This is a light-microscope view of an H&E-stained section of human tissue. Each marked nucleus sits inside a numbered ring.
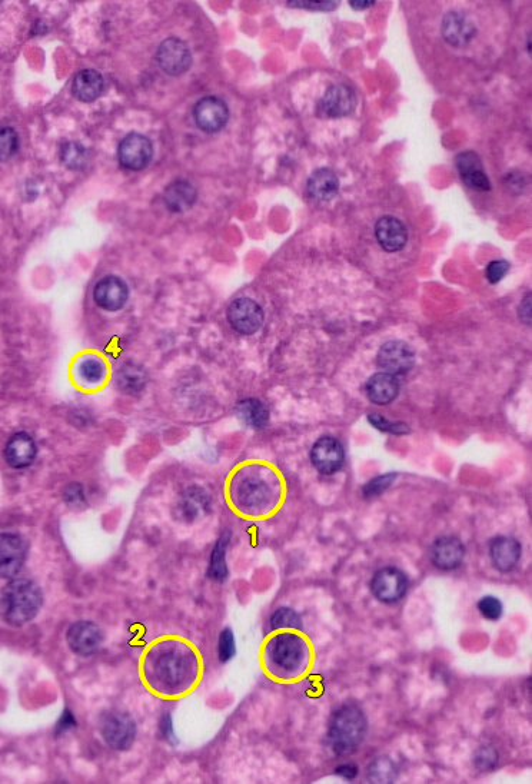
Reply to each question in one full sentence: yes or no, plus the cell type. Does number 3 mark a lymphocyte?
No, number 3 is not a lymphocyte; it is a hepatocyte.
